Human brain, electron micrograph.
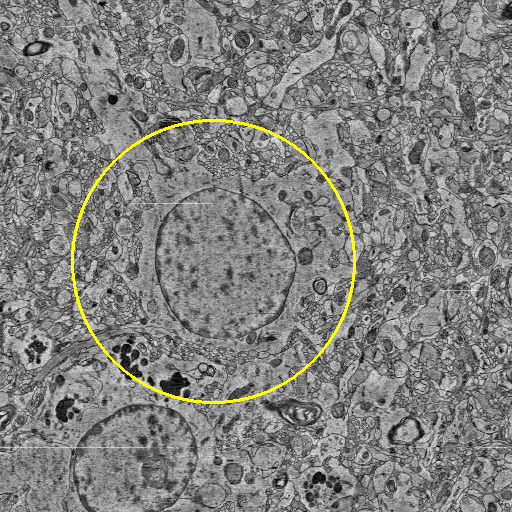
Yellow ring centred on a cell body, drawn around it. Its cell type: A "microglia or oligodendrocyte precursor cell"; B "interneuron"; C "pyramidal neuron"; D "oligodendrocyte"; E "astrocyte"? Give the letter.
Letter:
E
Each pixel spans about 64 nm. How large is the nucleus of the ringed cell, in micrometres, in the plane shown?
The nucleus is about 9 micrometres across in this plane.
